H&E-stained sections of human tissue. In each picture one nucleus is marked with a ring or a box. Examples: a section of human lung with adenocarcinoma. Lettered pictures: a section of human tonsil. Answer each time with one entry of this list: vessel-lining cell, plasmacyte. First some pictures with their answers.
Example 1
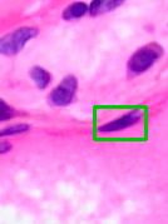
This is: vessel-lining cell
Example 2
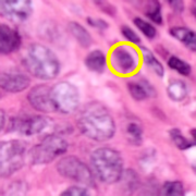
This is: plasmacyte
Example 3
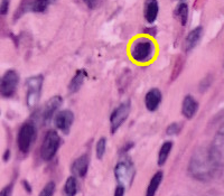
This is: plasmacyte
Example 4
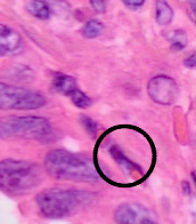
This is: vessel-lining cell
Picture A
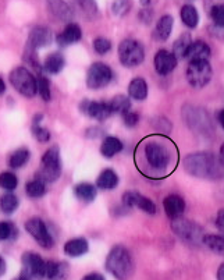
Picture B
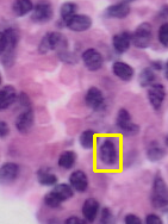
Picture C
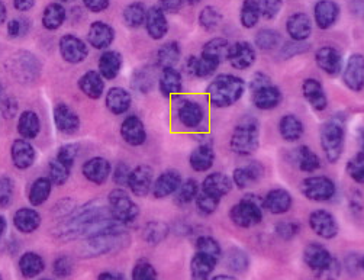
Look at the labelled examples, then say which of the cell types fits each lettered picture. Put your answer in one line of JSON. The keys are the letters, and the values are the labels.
{"A": "vessel-lining cell", "B": "plasmacyte", "C": "plasmacyte"}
